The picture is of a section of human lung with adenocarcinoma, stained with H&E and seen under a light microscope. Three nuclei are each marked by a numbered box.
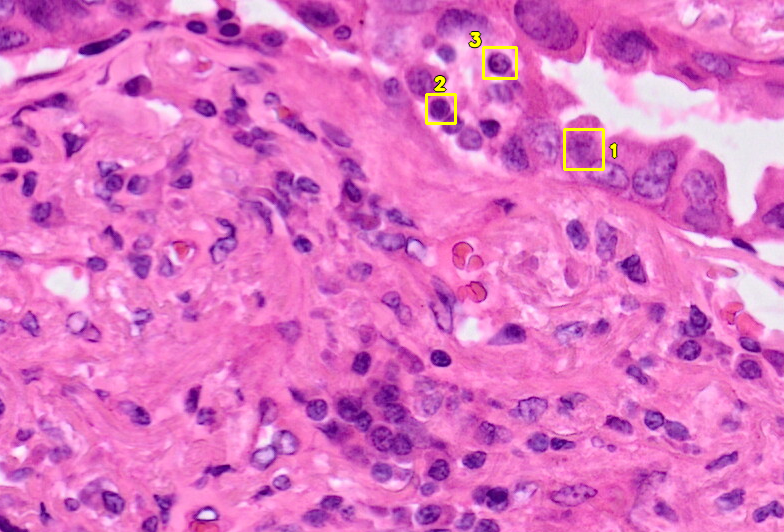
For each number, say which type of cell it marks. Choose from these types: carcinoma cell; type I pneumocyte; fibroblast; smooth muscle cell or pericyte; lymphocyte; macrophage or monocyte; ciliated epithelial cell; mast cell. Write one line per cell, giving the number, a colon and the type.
1: carcinoma cell
2: lymphocyte
3: lymphocyte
